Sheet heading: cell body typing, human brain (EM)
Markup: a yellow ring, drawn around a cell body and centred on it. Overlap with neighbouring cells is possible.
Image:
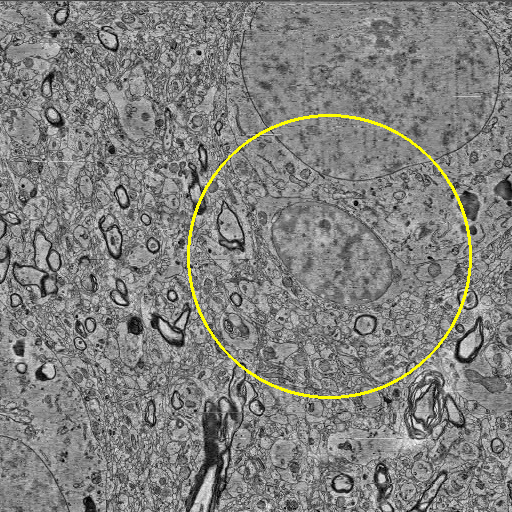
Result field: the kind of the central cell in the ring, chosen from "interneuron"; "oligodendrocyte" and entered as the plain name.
oligodendrocyte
